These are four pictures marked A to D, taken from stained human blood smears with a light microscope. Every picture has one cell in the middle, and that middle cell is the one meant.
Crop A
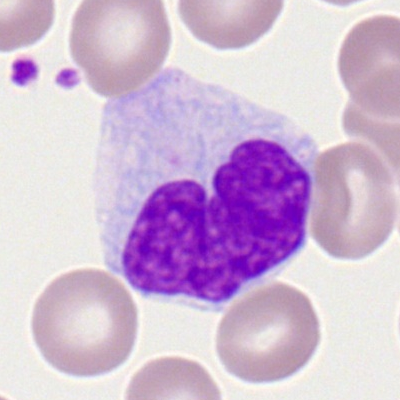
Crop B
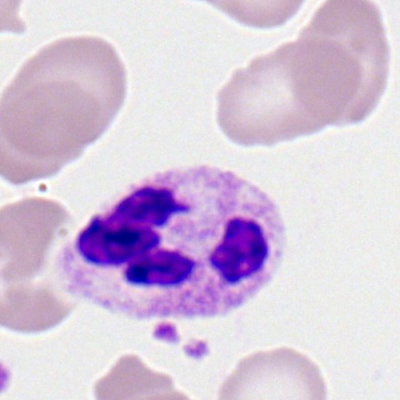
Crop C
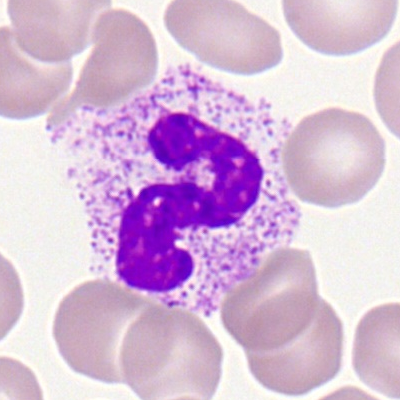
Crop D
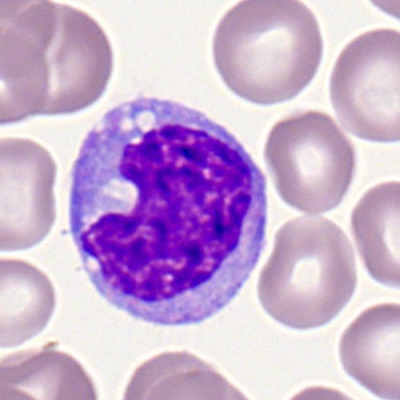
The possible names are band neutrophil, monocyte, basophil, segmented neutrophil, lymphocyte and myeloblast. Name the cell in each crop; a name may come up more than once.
A: monocyte
B: segmented neutrophil
C: band neutrophil
D: monocyte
